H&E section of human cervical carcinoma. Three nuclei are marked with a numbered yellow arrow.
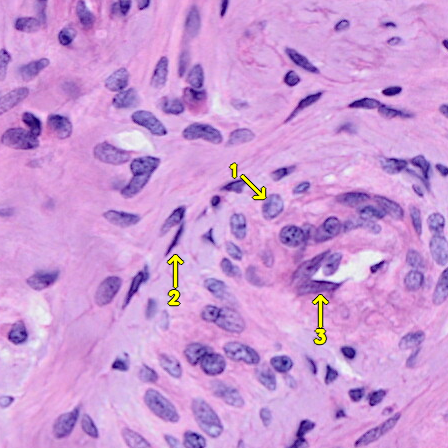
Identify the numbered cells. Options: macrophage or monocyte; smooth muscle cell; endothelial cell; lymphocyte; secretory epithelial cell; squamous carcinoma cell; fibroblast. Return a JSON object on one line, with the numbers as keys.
{"1": "smooth muscle cell", "2": "fibroblast", "3": "endothelial cell"}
